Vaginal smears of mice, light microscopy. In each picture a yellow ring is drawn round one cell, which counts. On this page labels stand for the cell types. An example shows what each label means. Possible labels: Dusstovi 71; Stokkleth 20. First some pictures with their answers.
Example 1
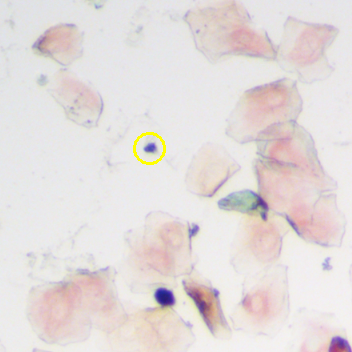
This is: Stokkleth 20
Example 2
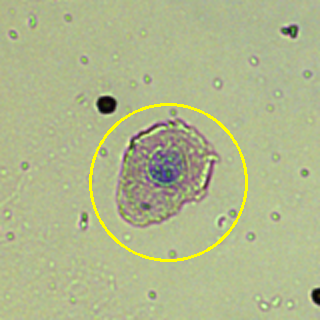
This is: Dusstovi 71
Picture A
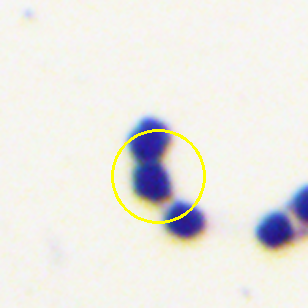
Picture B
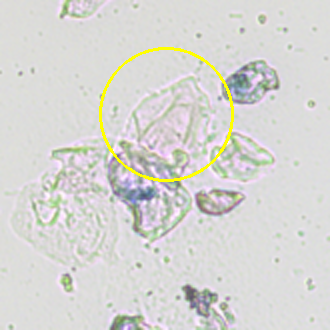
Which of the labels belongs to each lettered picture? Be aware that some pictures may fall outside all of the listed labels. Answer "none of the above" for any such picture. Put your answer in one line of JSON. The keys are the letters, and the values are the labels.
{"A": "Stokkleth 20", "B": "none of the above"}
